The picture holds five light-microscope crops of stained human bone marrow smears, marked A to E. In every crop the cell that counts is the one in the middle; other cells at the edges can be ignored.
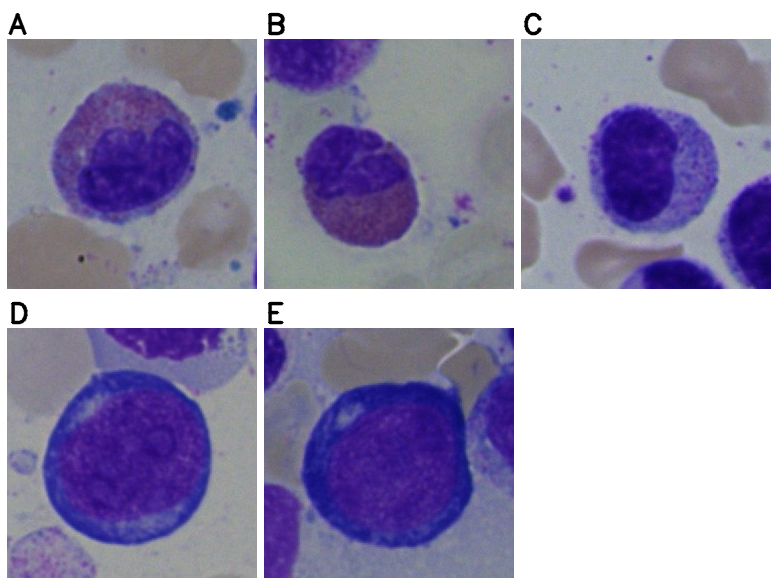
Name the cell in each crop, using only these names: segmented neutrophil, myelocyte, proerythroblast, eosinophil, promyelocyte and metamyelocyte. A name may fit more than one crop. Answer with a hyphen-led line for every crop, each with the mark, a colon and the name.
- A: eosinophil
- B: eosinophil
- C: metamyelocyte
- D: proerythroblast
- E: proerythroblast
